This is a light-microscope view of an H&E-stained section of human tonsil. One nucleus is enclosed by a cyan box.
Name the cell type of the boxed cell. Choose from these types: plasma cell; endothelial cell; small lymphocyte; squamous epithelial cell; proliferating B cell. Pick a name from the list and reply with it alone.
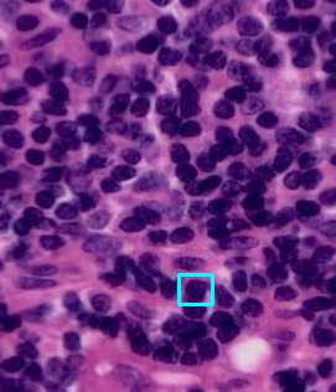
small lymphocyte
